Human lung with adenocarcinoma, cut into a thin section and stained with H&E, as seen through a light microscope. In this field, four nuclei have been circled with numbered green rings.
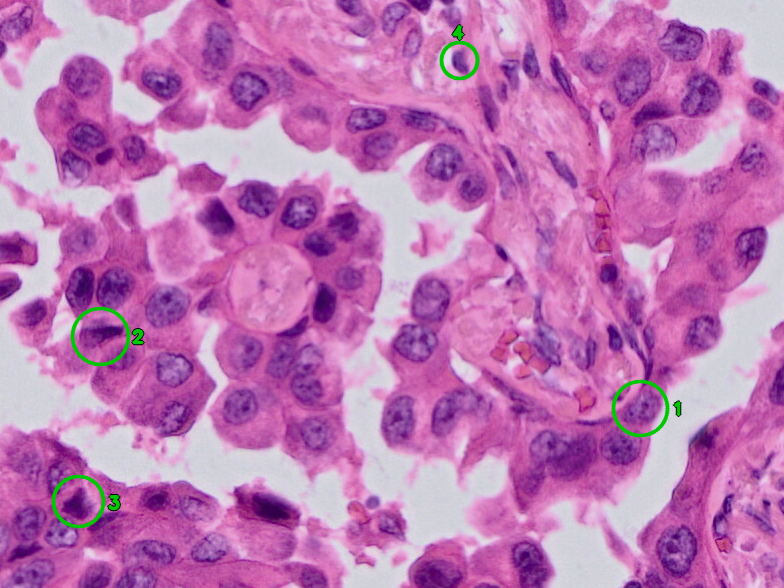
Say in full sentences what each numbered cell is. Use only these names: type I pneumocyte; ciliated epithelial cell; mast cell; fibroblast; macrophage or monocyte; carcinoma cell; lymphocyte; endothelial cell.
Cells 1, 2 and 3 are carcinoma cells. Cell 4 is a lymphocyte.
